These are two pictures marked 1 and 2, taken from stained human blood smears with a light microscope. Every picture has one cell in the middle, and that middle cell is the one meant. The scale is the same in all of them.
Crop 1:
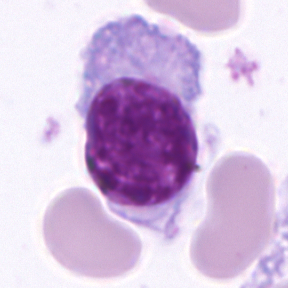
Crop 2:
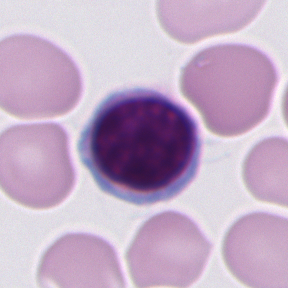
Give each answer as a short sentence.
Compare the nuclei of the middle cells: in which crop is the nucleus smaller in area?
It is the nucleus in crop 2; the one in crop 1 has about 1.5 times its area.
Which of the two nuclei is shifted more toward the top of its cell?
The nucleus in crop 2 lies further toward the top of its cell.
